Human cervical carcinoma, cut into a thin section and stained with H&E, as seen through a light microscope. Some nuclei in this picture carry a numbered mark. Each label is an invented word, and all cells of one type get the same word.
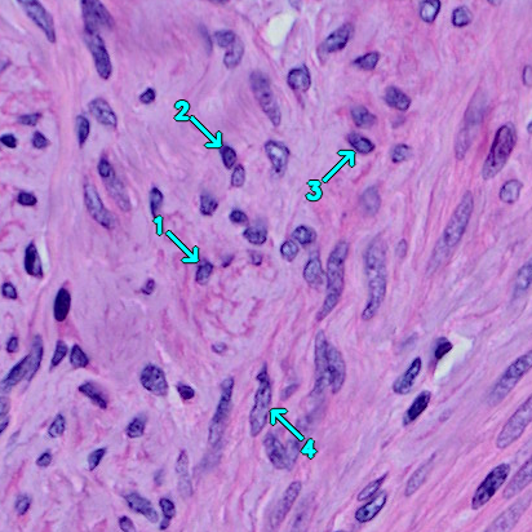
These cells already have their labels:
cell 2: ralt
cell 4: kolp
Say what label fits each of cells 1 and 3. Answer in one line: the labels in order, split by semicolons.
kolp; kolp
